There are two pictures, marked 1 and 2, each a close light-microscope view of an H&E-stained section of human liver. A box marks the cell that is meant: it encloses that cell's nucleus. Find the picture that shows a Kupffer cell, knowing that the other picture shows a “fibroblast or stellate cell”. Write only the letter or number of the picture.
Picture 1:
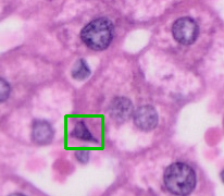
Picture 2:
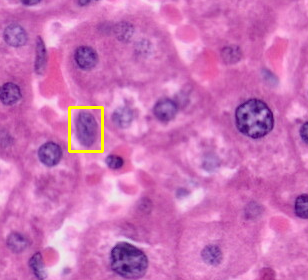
2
